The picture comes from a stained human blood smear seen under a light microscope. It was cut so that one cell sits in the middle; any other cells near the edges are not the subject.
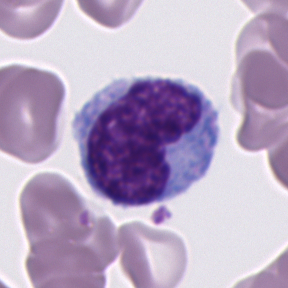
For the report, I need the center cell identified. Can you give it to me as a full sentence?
Of the cells in this crop, the central one is a monocyte.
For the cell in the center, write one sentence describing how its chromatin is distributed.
You can see that its chromatin is coarsely clumped.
